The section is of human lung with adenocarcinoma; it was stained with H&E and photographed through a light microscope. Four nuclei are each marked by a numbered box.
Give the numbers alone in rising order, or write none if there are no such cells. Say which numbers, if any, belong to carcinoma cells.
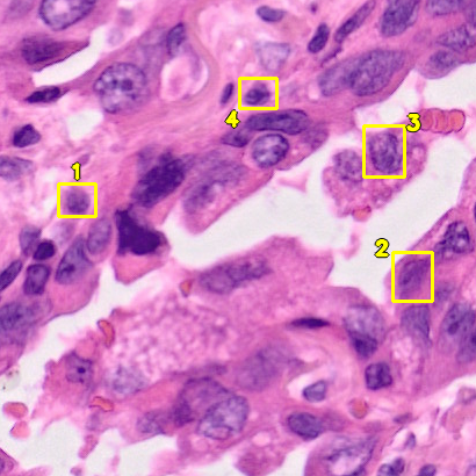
2, 3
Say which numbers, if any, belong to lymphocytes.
4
